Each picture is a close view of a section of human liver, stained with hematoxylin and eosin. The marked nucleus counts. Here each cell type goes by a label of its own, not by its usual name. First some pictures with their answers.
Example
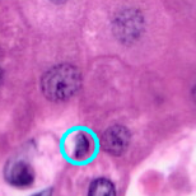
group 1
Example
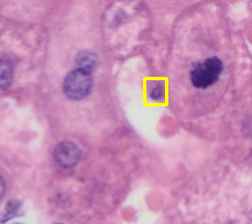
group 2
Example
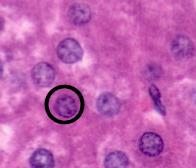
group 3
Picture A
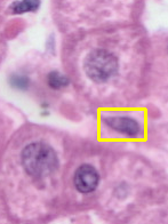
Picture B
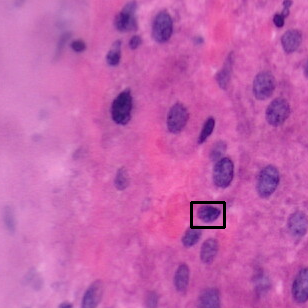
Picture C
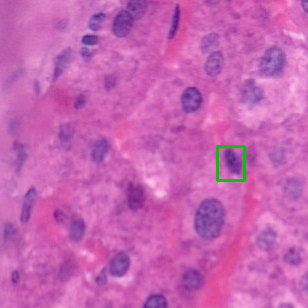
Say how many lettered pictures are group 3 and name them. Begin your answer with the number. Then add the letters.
0, none of them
